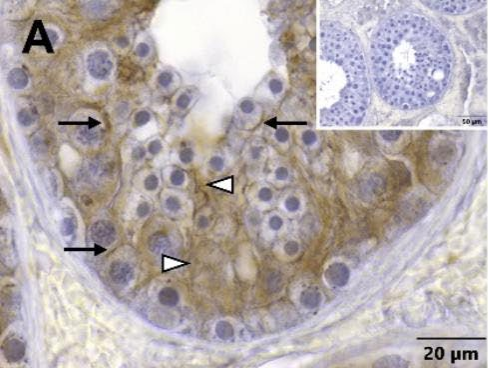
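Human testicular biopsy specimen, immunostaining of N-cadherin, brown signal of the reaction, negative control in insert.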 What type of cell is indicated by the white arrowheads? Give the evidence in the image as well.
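Sertoli cells. The arrowheads point at brown-stained cytoplasm that extends between round germ cells. The stained cytoplasm lies inside a seminiferous tubule with a layered epithelium.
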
